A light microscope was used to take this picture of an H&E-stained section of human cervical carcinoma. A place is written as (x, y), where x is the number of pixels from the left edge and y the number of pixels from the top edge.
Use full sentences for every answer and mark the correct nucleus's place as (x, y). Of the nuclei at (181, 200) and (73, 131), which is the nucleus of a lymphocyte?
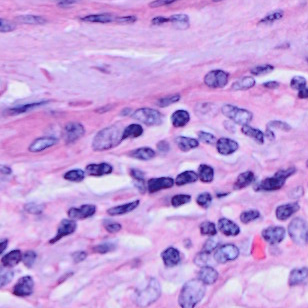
The nucleus that sits at (181, 200) is the nucleus of a lymphocyte.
